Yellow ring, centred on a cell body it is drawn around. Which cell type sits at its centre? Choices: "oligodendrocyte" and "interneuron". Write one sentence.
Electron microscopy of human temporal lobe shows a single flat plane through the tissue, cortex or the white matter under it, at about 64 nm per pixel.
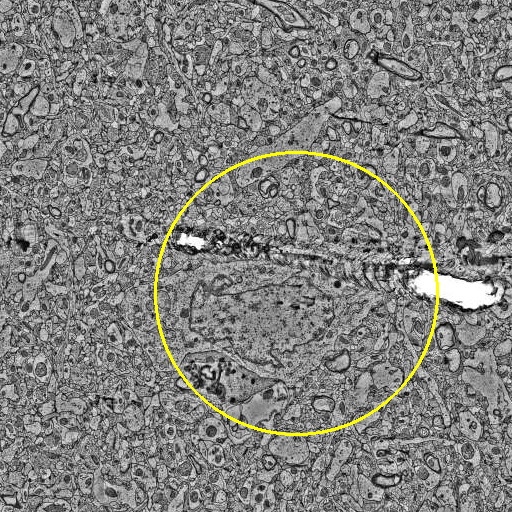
At the centre of the ring sits an interneuron.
